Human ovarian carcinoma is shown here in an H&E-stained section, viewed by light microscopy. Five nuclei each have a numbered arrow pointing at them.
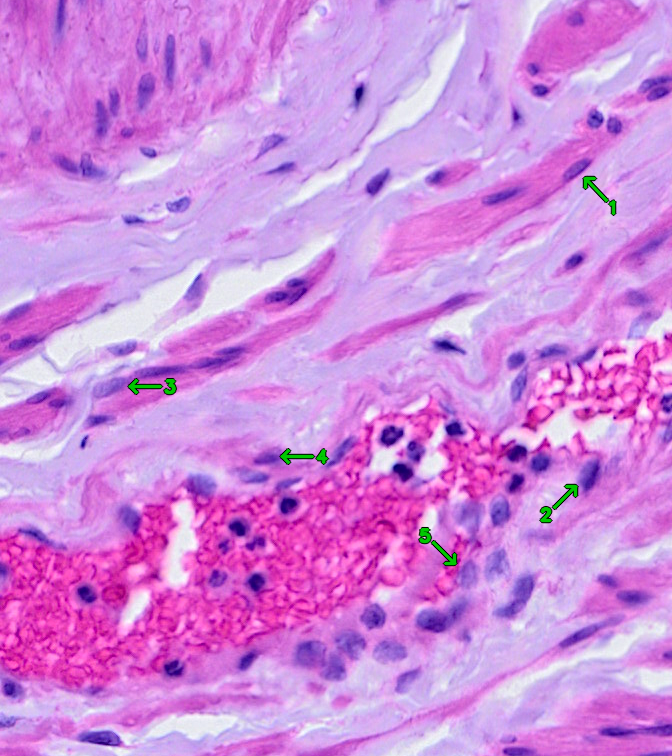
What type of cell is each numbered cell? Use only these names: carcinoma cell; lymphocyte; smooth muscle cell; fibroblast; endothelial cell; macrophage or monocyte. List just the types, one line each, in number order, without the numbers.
smooth muscle cell
endothelial cell
smooth muscle cell
smooth muscle cell
endothelial cell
